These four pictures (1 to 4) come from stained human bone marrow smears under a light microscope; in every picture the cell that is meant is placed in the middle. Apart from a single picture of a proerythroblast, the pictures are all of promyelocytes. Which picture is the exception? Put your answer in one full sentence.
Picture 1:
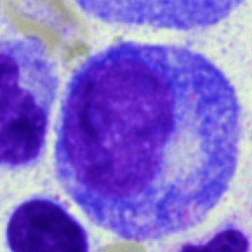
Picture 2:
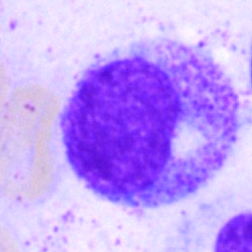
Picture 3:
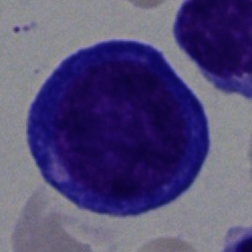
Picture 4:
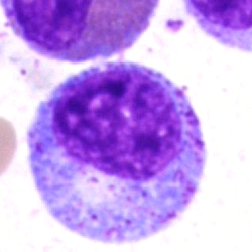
The cell in picture 3 is the proerythroblast.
